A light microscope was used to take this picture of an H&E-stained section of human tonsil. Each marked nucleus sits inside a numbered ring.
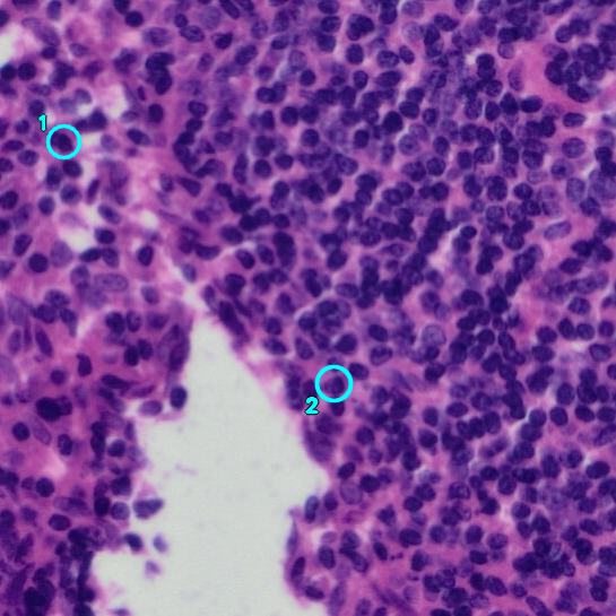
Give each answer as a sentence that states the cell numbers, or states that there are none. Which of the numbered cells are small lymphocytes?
Only cell 2 qualifies as a small lymphocyte among the numbered cells.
